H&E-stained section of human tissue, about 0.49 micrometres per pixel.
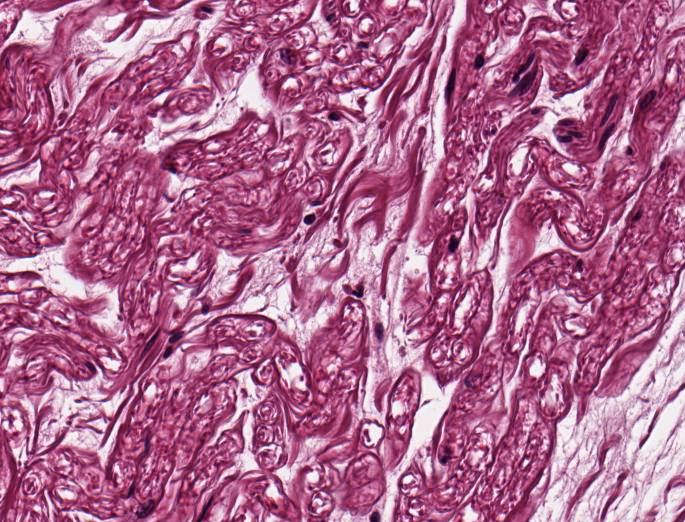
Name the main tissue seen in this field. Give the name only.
nerve fascicle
